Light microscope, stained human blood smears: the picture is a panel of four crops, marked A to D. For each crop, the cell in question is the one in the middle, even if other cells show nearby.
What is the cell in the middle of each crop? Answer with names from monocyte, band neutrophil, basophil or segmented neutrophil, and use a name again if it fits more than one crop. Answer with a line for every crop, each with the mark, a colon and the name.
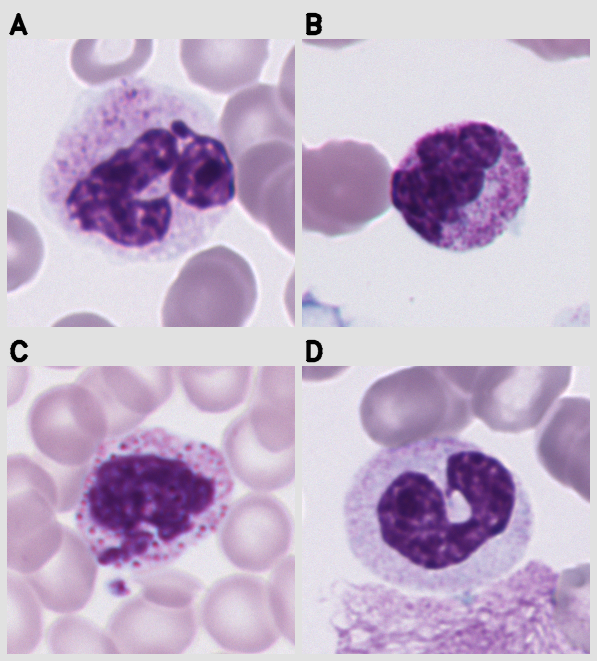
A: segmented neutrophil
B: segmented neutrophil
C: basophil
D: band neutrophil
